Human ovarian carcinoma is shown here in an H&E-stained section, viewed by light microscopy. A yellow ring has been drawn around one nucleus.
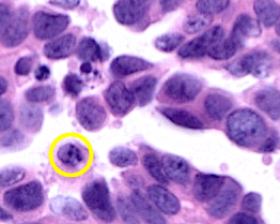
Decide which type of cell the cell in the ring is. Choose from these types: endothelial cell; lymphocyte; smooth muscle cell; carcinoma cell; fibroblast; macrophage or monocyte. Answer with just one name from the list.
macrophage or monocyte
